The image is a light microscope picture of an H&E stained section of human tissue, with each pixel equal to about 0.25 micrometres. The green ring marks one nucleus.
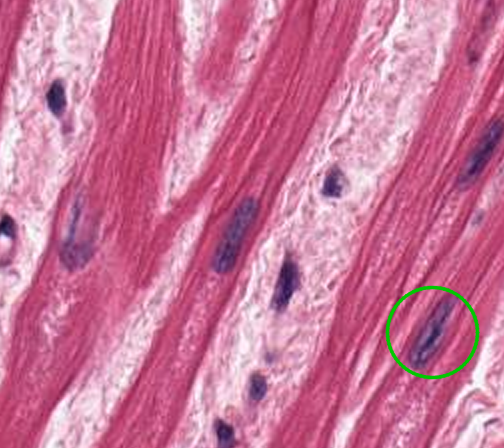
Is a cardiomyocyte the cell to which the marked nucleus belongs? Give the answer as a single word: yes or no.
yes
